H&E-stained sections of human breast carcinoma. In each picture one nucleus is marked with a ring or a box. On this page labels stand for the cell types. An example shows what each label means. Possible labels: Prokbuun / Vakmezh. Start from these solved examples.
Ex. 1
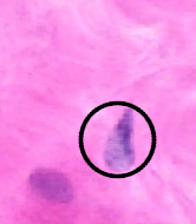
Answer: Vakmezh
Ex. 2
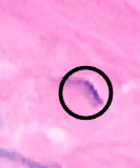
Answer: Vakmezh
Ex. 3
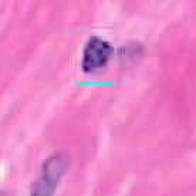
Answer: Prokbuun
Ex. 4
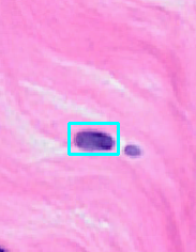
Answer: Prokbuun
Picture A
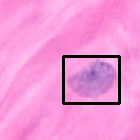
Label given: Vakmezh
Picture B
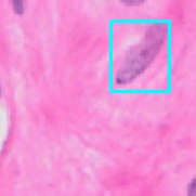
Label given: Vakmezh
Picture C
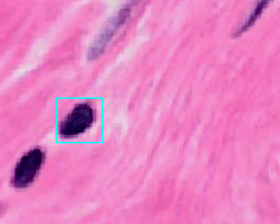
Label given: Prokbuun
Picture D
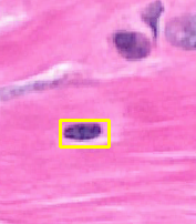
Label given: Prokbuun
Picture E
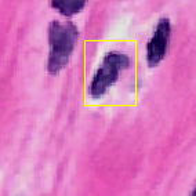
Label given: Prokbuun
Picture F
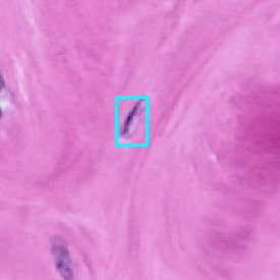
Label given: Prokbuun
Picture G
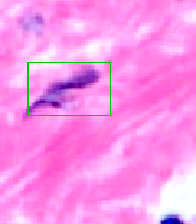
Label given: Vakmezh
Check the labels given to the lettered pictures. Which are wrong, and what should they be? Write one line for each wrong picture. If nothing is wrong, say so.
F should be Vakmezh, not Prokbuun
